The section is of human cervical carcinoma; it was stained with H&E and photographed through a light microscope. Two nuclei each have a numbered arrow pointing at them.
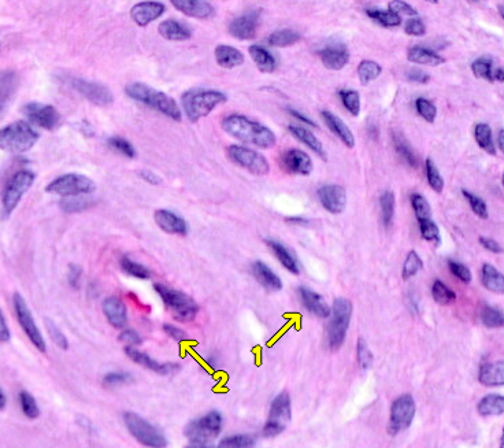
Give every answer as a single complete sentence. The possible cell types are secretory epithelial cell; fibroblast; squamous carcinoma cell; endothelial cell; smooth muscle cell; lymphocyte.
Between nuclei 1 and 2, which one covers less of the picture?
With nucleus 1 about 3 times its size, nucleus 2 is the smaller of the two.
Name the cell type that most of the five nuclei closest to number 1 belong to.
Fibroblasts make up most of the five nuclei closest to number 1.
